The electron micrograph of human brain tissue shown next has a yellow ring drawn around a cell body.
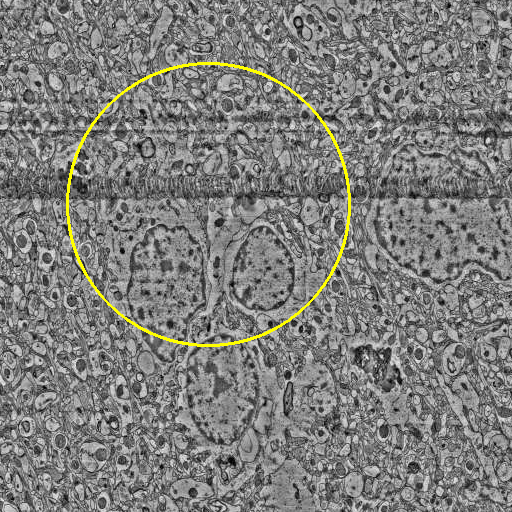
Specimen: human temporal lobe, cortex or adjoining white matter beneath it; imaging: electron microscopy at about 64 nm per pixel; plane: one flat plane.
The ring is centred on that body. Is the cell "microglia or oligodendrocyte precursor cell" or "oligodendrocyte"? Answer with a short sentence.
The cell in question is an oligodendrocyte.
